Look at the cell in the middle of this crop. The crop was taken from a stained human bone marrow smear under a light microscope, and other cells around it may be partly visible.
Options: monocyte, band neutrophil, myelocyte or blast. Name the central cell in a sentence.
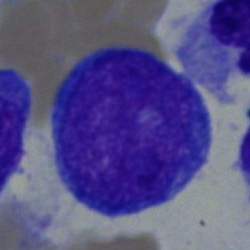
In the centre of this crop there is a blast.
